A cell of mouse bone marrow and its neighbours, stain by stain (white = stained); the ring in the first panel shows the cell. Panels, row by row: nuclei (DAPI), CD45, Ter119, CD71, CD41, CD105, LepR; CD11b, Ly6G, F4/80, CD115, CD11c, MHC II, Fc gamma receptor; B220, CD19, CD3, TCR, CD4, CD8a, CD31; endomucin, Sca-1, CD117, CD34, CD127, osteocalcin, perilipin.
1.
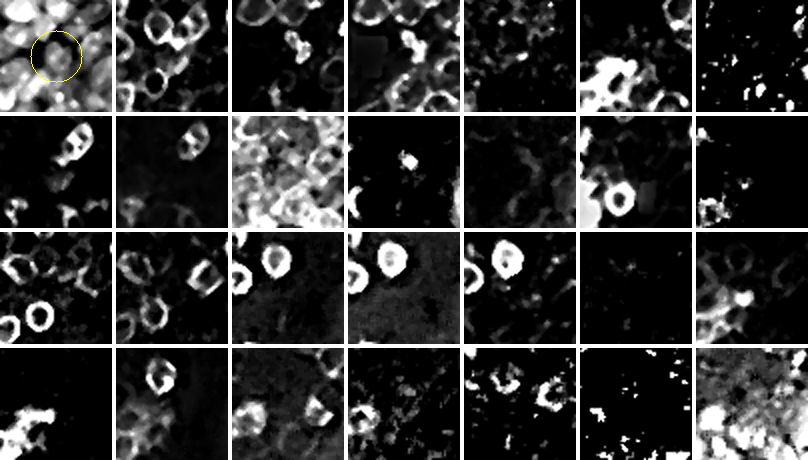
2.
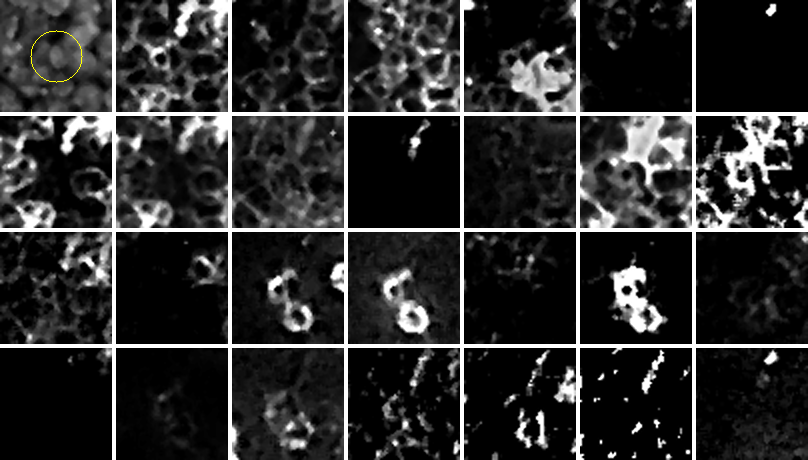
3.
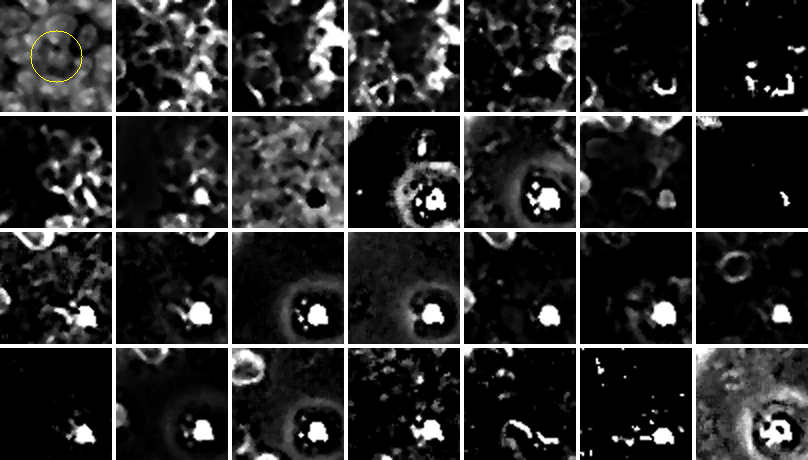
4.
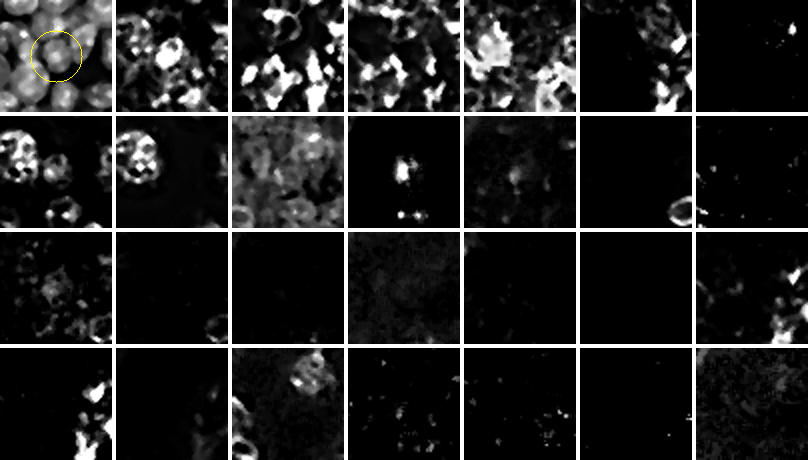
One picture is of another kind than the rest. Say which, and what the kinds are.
Picture 2 shows a CD8 T cell; the rest show monocytes.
